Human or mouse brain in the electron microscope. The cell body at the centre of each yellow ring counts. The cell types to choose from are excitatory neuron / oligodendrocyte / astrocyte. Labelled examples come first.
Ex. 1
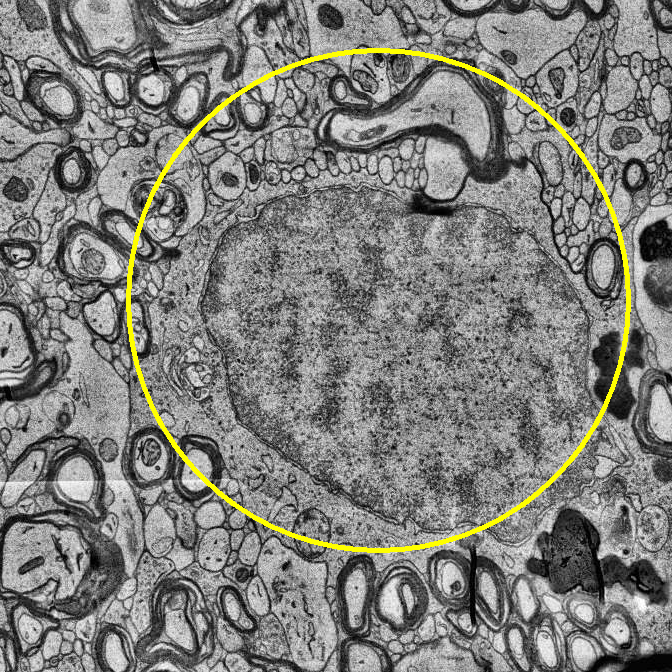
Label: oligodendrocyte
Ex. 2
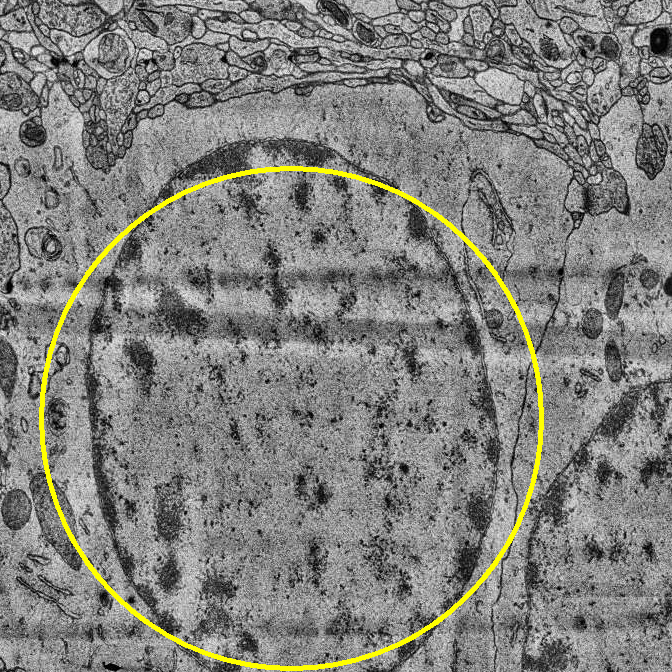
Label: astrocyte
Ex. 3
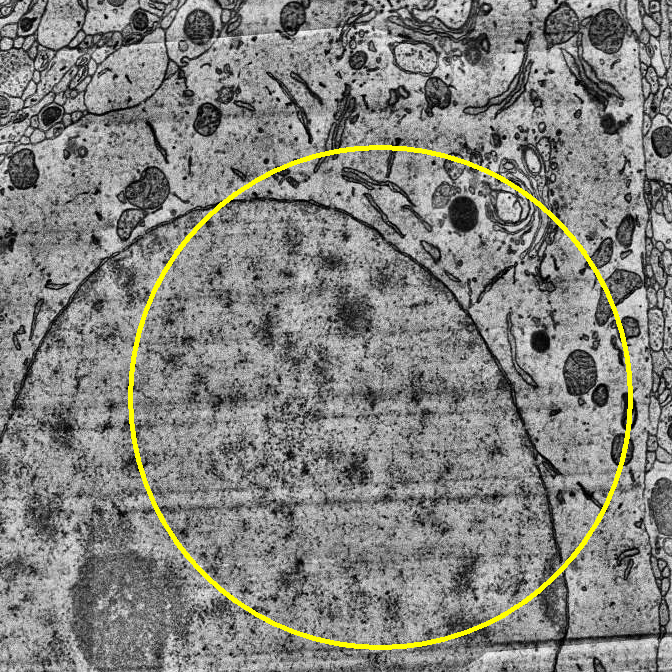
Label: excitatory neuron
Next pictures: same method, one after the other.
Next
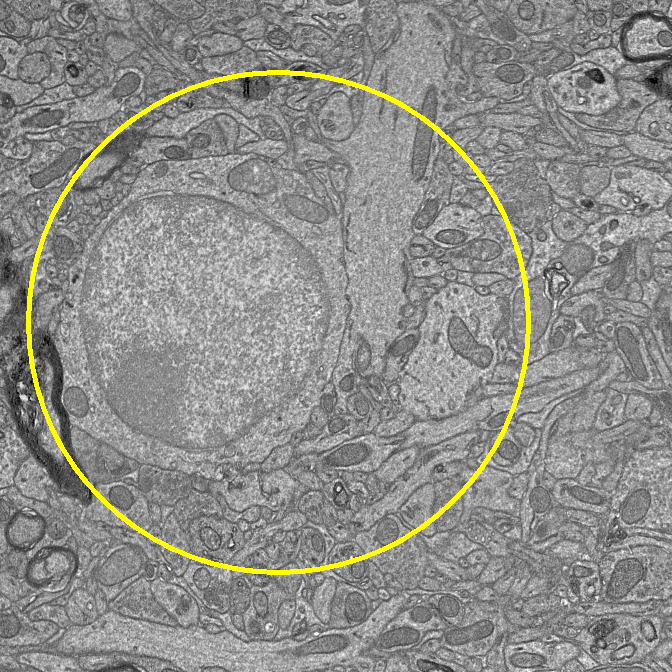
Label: oligodendrocyte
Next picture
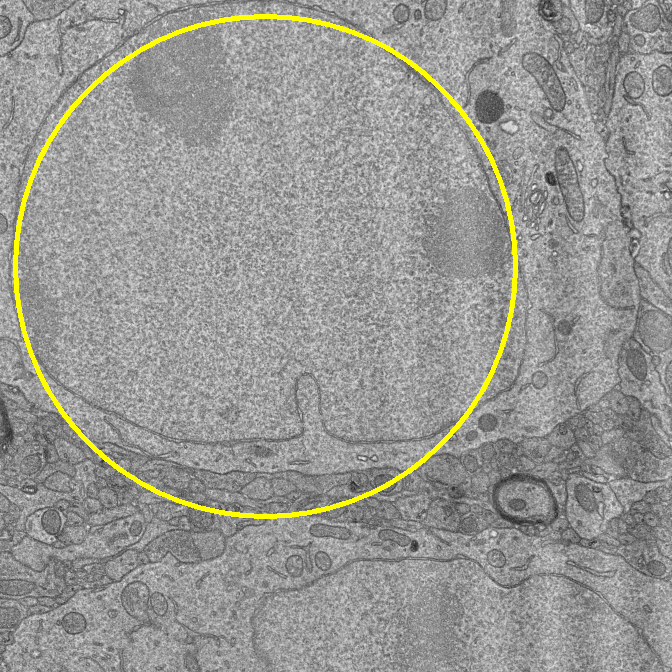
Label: excitatory neuron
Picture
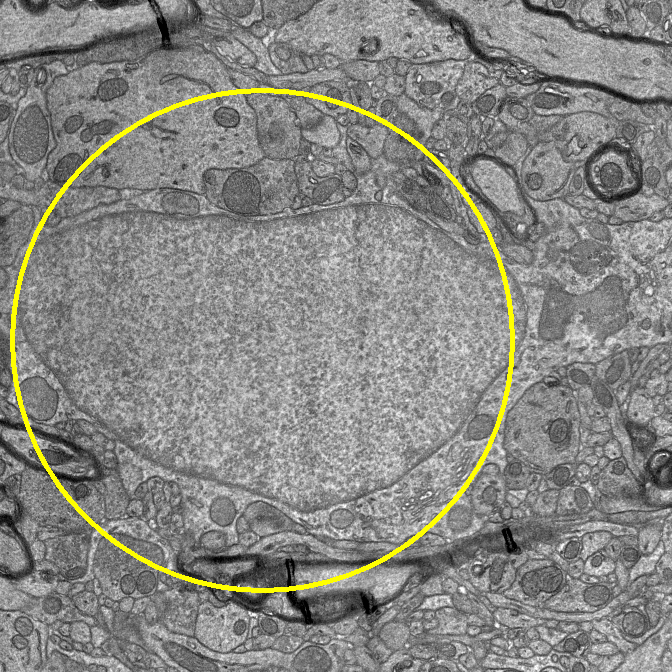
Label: astrocyte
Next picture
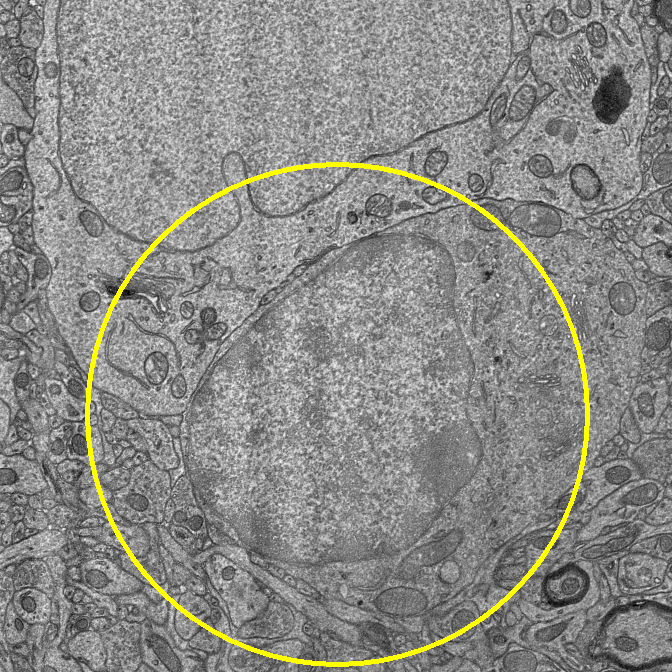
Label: oligodendrocyte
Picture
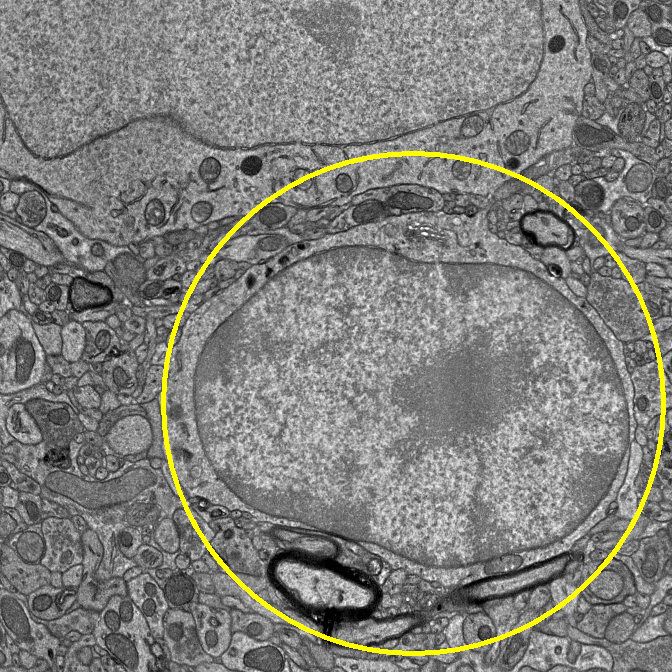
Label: oligodendrocyte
